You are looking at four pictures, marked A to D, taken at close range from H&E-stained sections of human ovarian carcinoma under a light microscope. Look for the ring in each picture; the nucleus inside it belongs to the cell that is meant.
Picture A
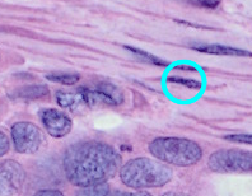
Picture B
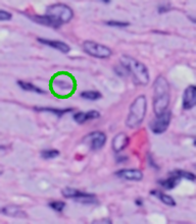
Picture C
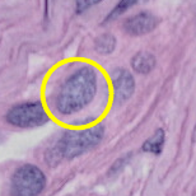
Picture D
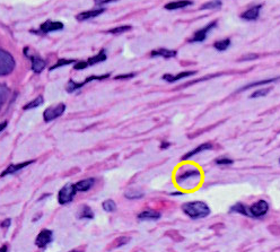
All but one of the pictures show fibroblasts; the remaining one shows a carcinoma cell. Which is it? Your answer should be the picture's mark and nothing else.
C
